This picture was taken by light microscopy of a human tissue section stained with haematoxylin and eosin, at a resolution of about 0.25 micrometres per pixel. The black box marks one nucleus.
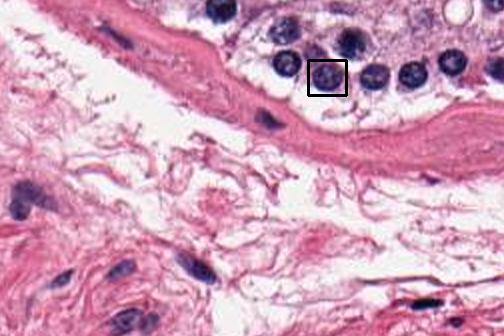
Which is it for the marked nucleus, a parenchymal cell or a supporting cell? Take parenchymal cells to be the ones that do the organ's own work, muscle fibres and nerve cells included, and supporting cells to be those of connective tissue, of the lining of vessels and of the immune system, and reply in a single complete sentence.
The marked nucleus belongs to a cell of the parenchyma, namely a spermatogonium.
